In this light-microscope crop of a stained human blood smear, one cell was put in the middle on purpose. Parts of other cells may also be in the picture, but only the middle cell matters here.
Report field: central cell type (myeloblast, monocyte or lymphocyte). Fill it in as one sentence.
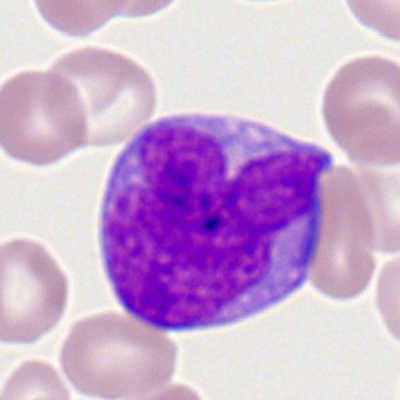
In the middle of this smear crop is a myeloblast.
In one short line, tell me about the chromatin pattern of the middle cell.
Answer: the chromatin is fine and has no coarse clumps.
